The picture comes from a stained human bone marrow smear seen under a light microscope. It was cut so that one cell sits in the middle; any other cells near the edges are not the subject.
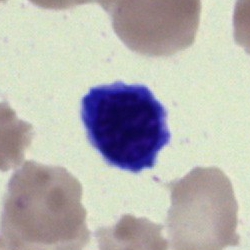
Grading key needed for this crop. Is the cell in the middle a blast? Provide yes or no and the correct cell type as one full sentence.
No, that is not a blast; the middle cell is a lymphocyte.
